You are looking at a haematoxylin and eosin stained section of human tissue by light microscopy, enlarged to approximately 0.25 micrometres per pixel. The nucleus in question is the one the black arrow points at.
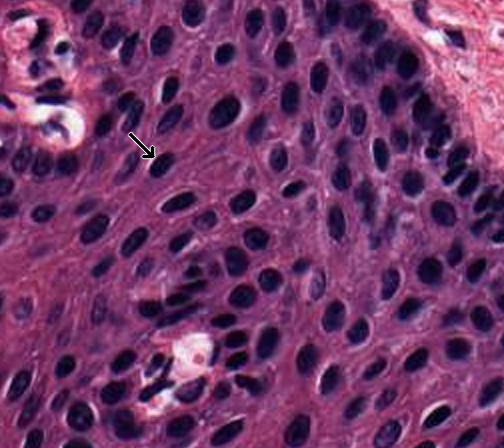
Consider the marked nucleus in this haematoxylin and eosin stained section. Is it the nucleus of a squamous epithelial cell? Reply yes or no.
yes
